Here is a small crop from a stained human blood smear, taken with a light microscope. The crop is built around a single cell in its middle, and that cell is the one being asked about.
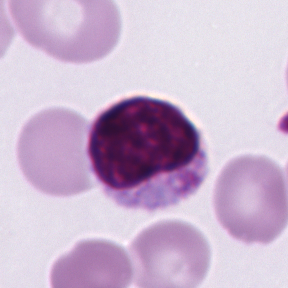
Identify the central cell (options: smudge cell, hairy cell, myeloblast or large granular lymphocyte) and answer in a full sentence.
The middle cell in this particular crop is a large granular lymphocyte.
